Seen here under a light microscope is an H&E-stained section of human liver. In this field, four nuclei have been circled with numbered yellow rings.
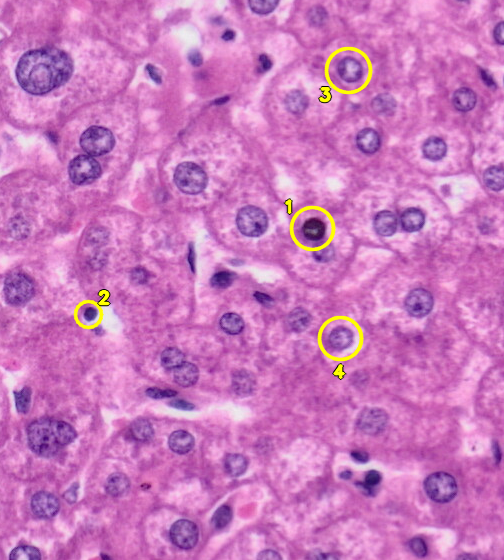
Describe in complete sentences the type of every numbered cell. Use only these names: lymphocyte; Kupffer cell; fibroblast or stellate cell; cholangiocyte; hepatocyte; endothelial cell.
Cell 1 is a hepatocyte, cell 2 is a lymphocyte, cell 3 is a hepatocyte and cell 4 is a hepatocyte.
